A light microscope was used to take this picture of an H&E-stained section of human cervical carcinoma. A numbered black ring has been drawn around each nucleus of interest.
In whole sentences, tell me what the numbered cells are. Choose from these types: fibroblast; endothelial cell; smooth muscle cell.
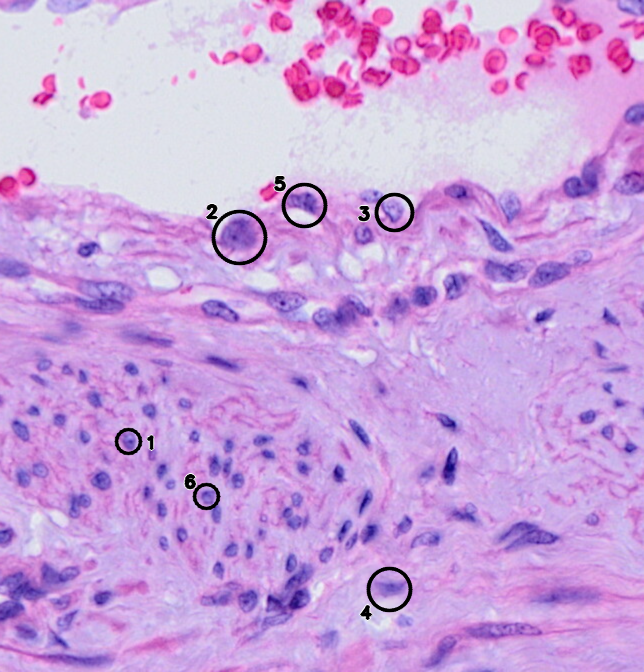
Cell 1 is a smooth muscle cell, cell 2 is an endothelial cell, cell 3 is an endothelial cell, cell 4 is a fibroblast, cell 5 is an endothelial cell and cell 6 is a smooth muscle cell.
